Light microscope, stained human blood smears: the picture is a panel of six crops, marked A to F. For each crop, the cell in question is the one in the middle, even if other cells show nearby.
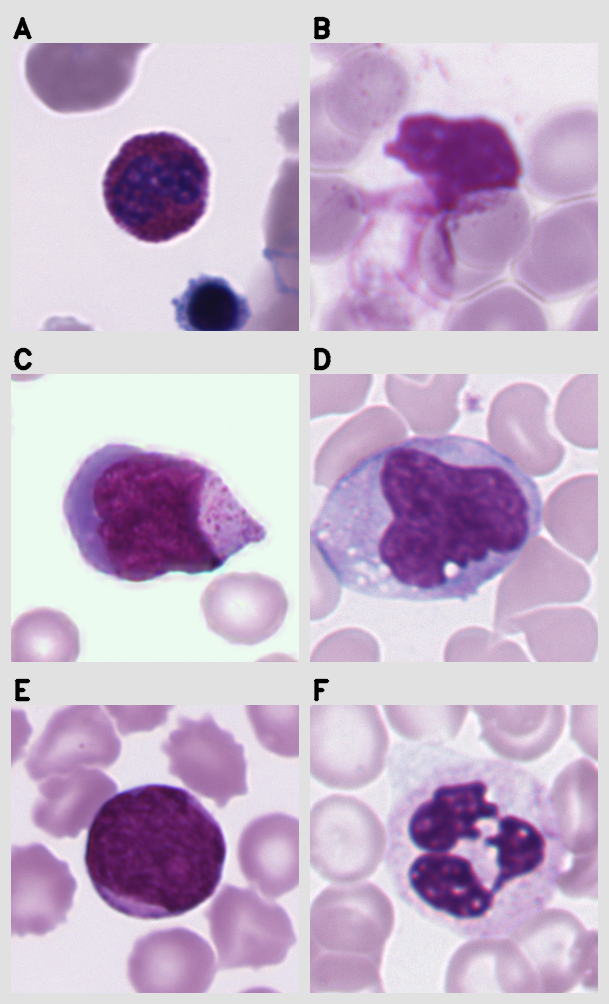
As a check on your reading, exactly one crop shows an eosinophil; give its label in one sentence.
In this set, crop A is the one showing an eosinophil.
